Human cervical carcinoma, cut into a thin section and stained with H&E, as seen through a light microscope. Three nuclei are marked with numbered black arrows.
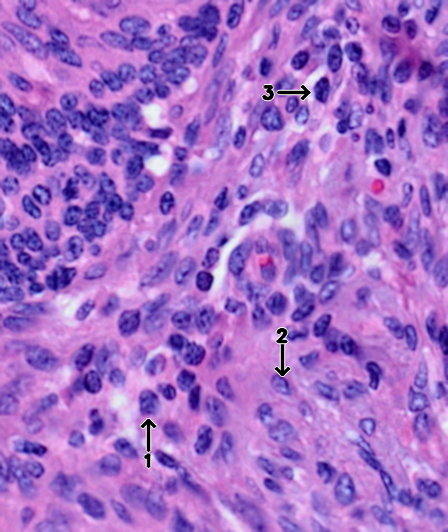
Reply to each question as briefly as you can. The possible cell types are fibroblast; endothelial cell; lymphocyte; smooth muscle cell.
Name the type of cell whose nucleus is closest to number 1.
lymphocyte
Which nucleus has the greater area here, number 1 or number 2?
1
